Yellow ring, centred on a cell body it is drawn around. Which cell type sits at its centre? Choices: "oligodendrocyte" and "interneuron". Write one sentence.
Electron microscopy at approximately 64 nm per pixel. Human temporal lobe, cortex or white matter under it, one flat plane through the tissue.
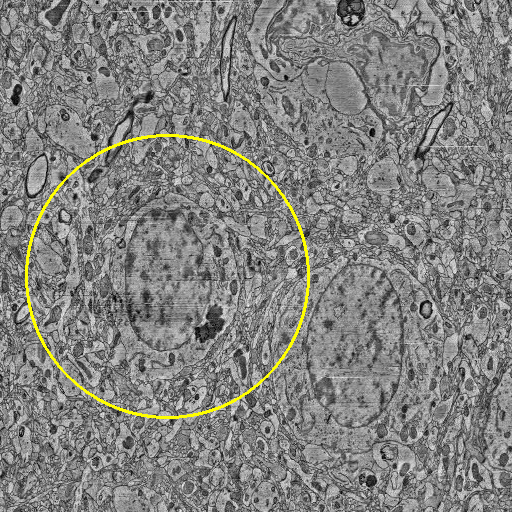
At the centre of the ring sits an interneuron.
